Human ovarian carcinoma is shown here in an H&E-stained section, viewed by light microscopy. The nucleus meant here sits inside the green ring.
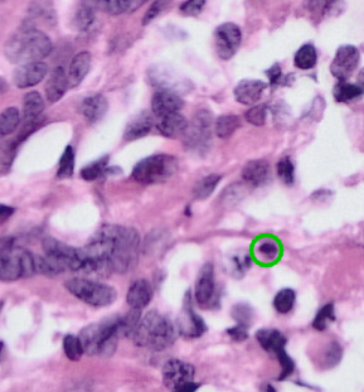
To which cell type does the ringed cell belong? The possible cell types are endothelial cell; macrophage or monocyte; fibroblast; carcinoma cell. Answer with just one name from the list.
macrophage or monocyte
